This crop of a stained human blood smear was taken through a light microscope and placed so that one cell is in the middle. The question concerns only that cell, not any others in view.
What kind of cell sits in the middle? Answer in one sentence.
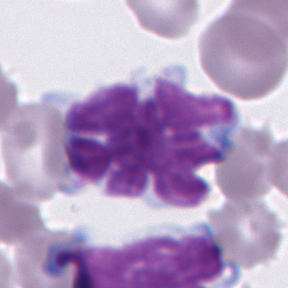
Centrally within this crop lies a lymphocyte.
